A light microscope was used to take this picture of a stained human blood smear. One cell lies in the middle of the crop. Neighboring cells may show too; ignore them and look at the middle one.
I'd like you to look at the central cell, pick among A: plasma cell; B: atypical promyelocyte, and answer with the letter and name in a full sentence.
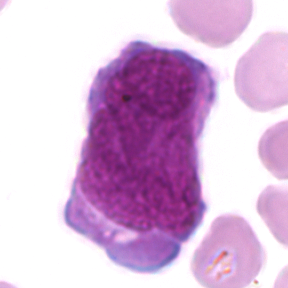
Occupying the middle of the crop is an atypical promyelocyte, hence option B is correct.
